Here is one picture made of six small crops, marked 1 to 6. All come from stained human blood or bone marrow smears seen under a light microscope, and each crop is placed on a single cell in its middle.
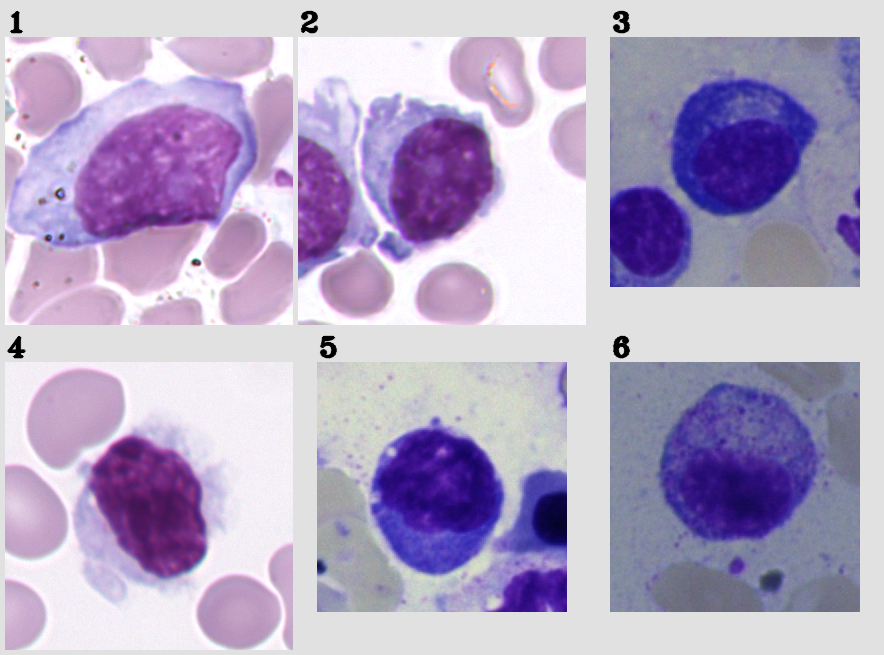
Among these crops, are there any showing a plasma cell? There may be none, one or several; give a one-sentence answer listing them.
The cells sitting in the middle of crops 1, 2, 3 and 5 are plasma cells.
